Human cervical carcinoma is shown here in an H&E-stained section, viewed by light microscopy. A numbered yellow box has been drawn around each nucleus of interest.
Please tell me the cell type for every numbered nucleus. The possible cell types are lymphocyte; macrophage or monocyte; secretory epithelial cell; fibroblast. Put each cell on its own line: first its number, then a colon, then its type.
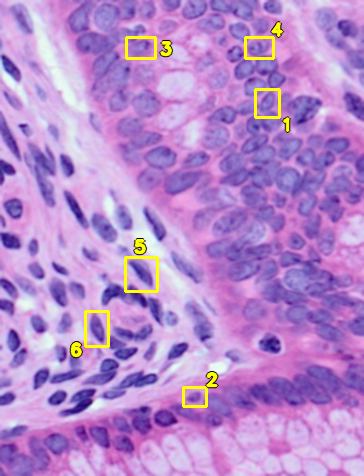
1: secretory epithelial cell
2: secretory epithelial cell
3: secretory epithelial cell
4: secretory epithelial cell
5: fibroblast
6: fibroblast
